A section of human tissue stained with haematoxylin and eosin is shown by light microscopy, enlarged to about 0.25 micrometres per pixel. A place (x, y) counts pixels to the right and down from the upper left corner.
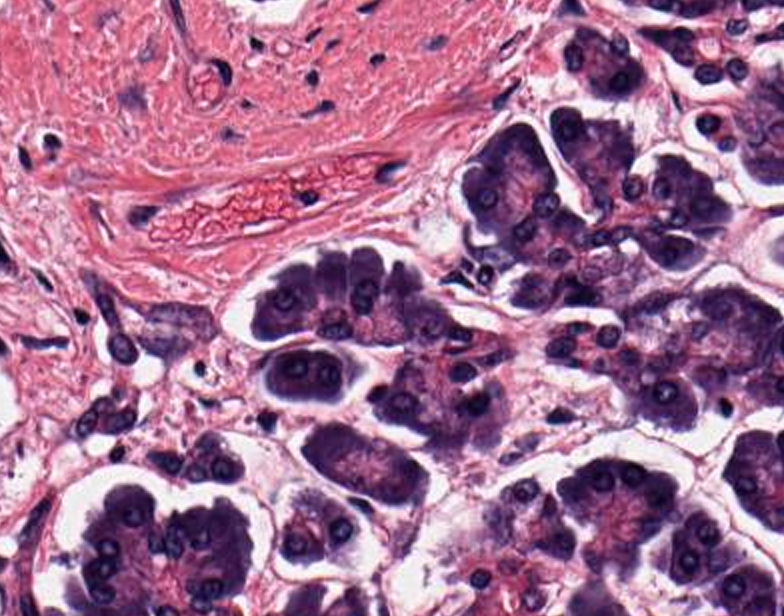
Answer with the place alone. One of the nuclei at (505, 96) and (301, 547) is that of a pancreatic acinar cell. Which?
(301, 547)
